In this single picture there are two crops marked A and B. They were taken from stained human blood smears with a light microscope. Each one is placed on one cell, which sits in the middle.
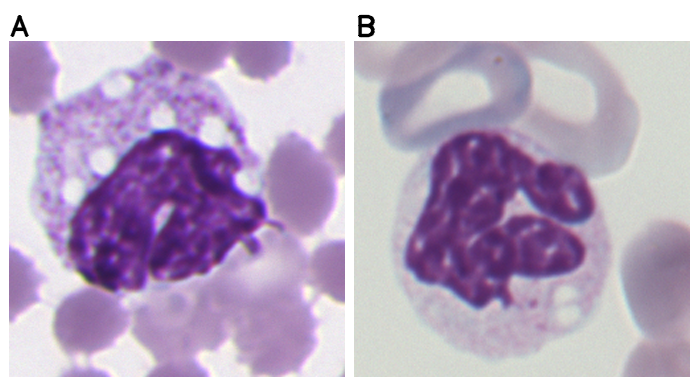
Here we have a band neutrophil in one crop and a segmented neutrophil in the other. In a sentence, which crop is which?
The crop marked A shows a band neutrophil; the crop marked B shows a segmented neutrophil.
